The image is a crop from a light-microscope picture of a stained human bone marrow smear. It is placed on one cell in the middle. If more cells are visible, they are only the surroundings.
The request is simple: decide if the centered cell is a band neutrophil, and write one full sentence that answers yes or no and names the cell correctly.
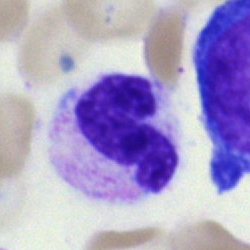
Yes, the cell at the midpoint of the crop is a band neutrophil.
